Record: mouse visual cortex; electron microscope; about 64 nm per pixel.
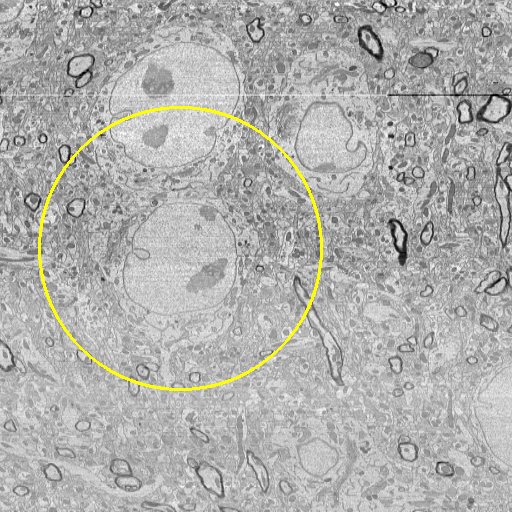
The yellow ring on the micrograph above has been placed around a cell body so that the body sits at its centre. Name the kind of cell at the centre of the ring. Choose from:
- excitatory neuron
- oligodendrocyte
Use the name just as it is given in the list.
excitatory neuron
